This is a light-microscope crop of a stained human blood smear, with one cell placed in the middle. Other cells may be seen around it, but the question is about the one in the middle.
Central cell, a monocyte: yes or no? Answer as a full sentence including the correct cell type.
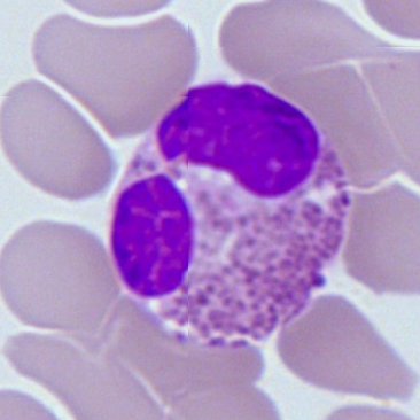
No, what sits in the centre of the crop is an eosinophil rather than a monocyte.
